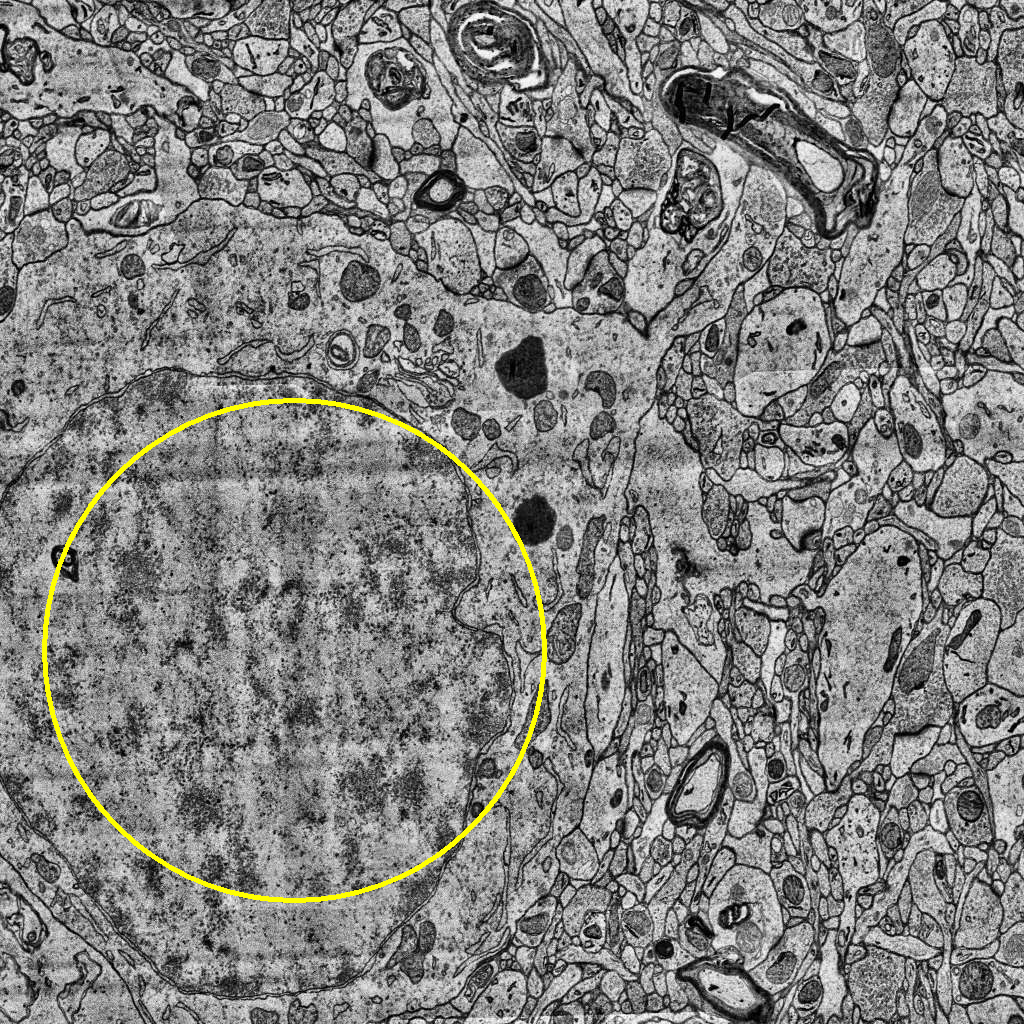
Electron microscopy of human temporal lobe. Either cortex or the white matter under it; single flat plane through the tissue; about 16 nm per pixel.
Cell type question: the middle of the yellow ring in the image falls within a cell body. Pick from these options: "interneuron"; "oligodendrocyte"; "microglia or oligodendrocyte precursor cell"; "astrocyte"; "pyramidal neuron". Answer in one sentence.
The cell body at the center of the ring belongs to an interneuron.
